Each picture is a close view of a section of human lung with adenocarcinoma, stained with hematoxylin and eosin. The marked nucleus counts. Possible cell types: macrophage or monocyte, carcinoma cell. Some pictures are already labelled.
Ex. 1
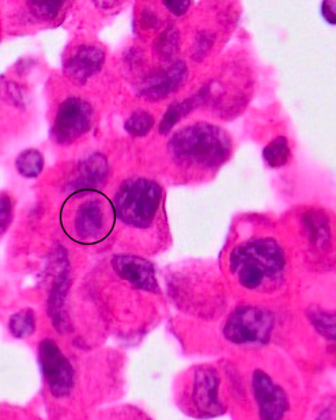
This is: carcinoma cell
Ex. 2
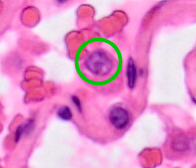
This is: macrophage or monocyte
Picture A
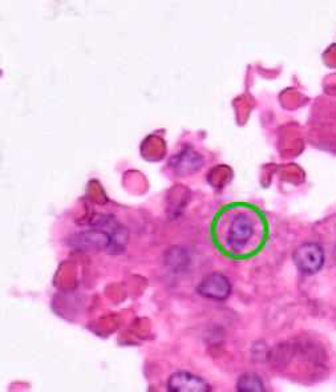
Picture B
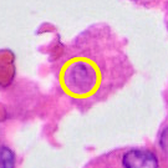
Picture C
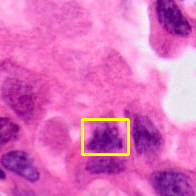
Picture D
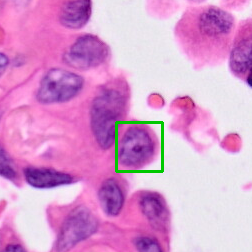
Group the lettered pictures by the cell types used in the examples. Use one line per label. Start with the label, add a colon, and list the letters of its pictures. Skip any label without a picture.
macrophage or monocyte: A, B
carcinoma cell: C, D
